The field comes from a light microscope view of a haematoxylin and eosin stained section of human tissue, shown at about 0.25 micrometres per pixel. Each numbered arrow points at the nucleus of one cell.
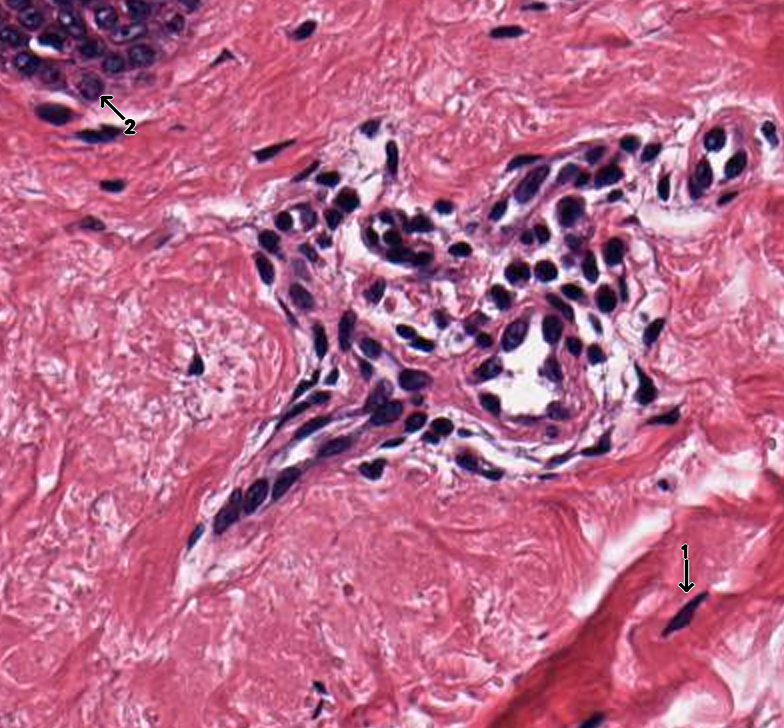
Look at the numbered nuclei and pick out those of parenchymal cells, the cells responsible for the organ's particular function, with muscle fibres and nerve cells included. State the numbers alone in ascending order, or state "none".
2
